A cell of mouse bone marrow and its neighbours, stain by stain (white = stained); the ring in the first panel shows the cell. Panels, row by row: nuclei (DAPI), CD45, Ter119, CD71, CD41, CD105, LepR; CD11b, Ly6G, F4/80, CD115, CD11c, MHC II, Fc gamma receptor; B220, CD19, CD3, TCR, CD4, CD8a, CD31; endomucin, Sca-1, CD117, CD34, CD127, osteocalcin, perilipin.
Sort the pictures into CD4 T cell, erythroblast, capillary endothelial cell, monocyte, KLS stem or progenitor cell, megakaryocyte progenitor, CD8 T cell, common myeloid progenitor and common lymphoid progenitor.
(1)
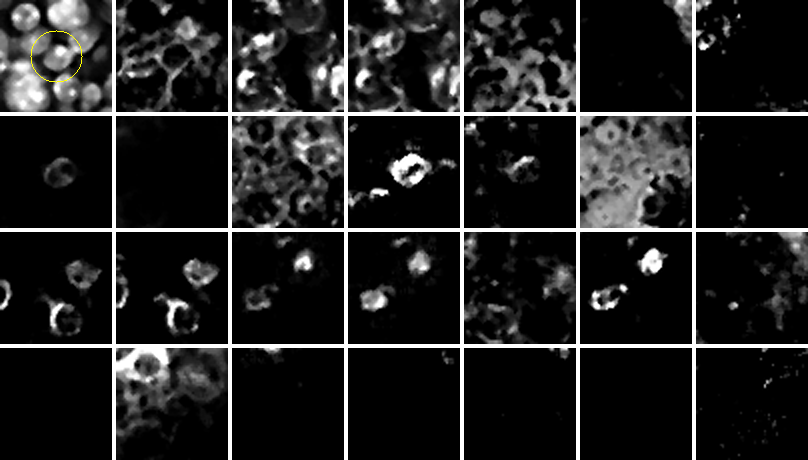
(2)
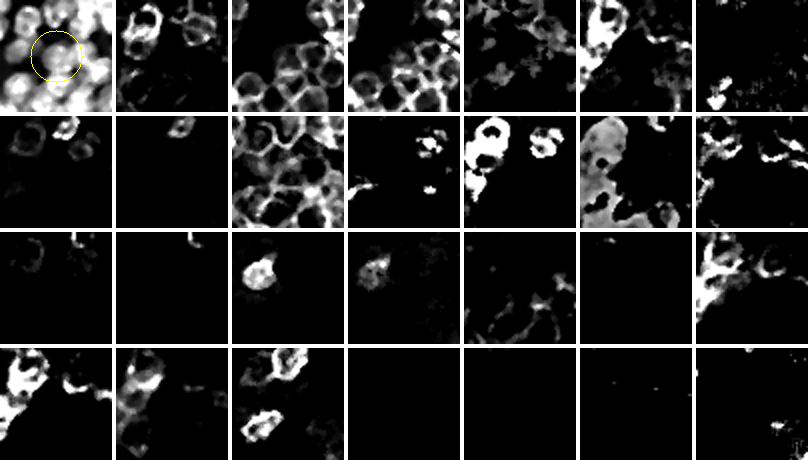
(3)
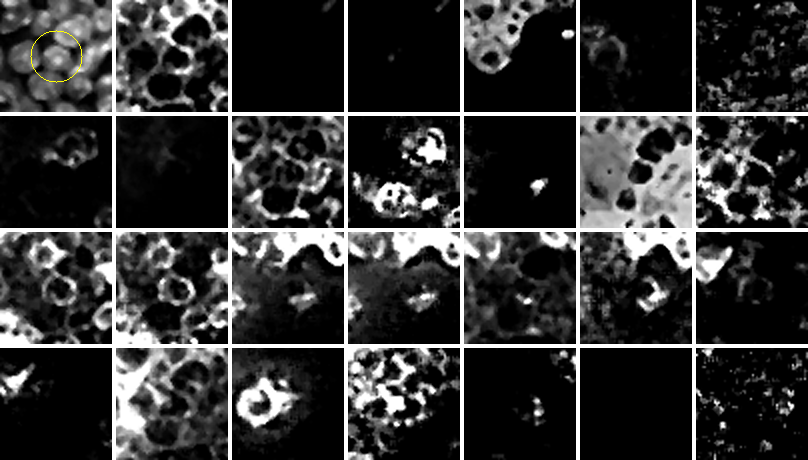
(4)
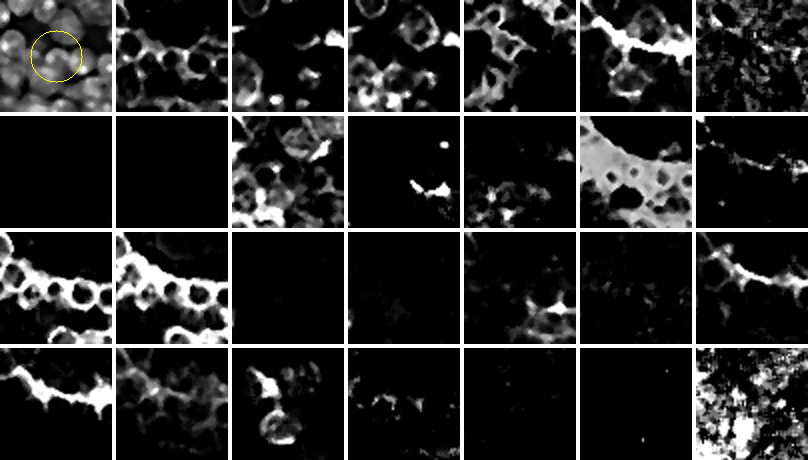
Monocytes: 1
Erythroblasts: 2
Megakaryocyte progenitors: 3
Capillary endothelial cells: 4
